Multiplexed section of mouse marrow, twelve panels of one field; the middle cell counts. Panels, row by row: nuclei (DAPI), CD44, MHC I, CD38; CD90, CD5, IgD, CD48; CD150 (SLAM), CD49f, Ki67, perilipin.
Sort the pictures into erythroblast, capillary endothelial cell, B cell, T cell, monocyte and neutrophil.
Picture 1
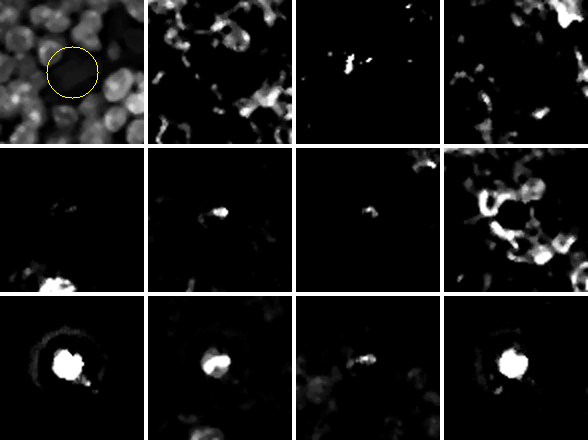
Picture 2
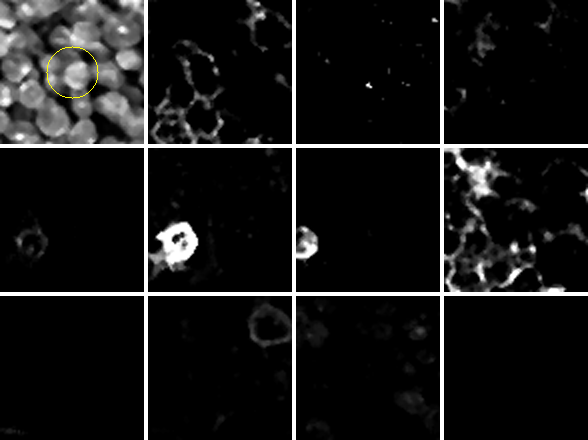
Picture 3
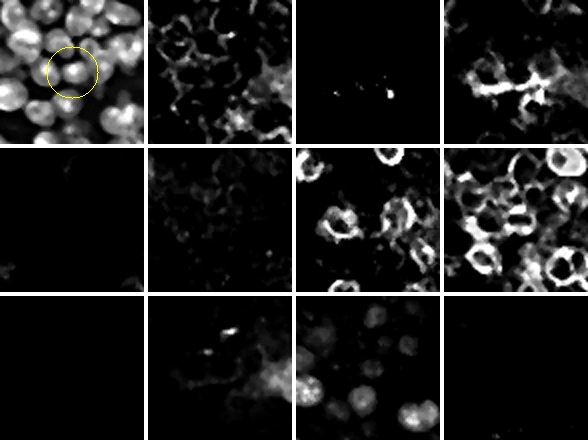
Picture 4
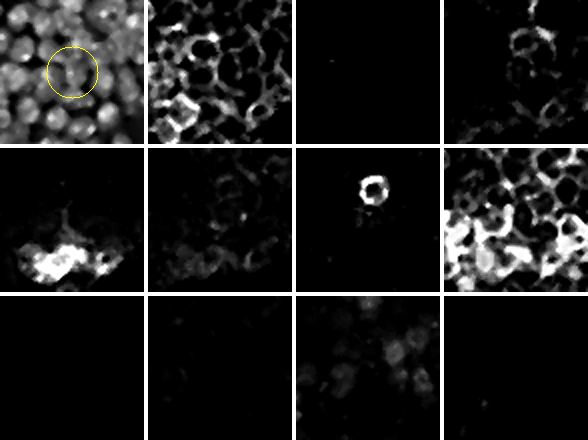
T cells: 1
Erythroblasts: 2
Capillary endothelial cells: 3
B cells: 4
